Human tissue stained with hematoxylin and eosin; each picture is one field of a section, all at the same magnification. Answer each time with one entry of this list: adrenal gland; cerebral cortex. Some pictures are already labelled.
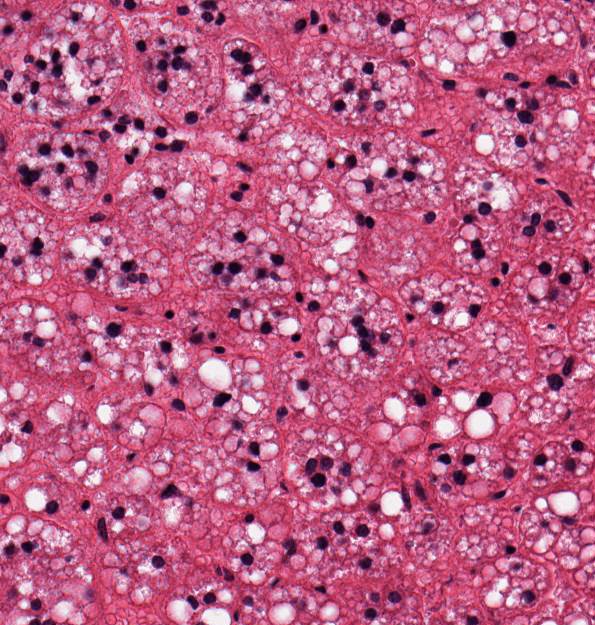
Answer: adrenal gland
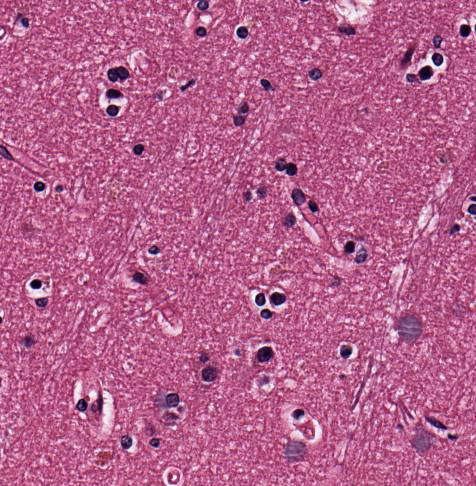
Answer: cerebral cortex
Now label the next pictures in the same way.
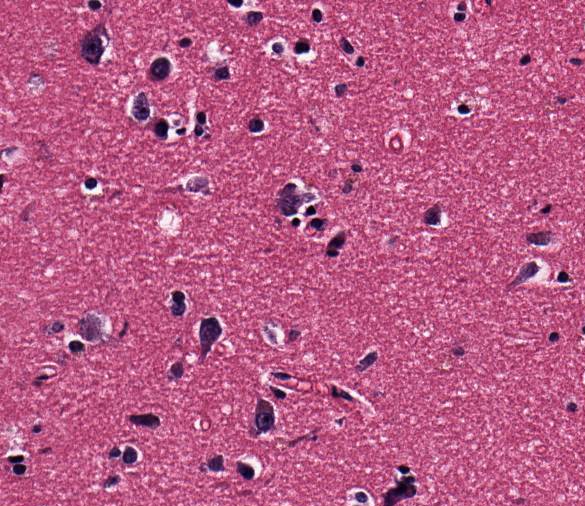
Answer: cerebral cortex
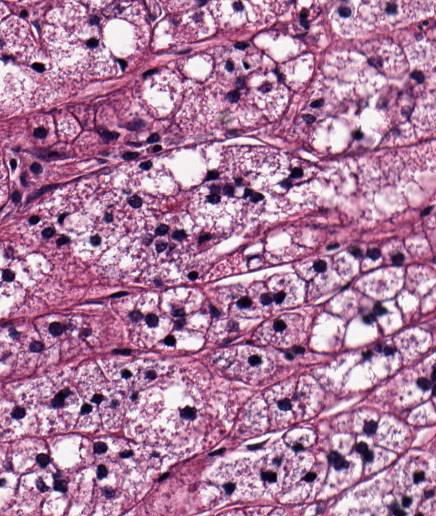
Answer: adrenal gland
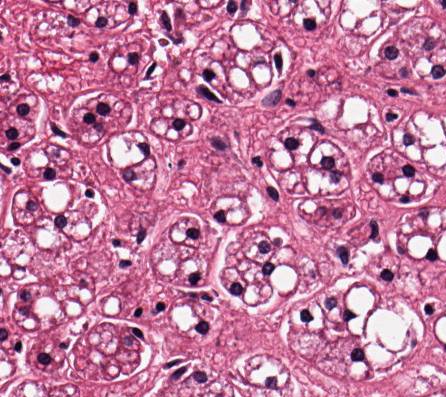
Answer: adrenal gland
